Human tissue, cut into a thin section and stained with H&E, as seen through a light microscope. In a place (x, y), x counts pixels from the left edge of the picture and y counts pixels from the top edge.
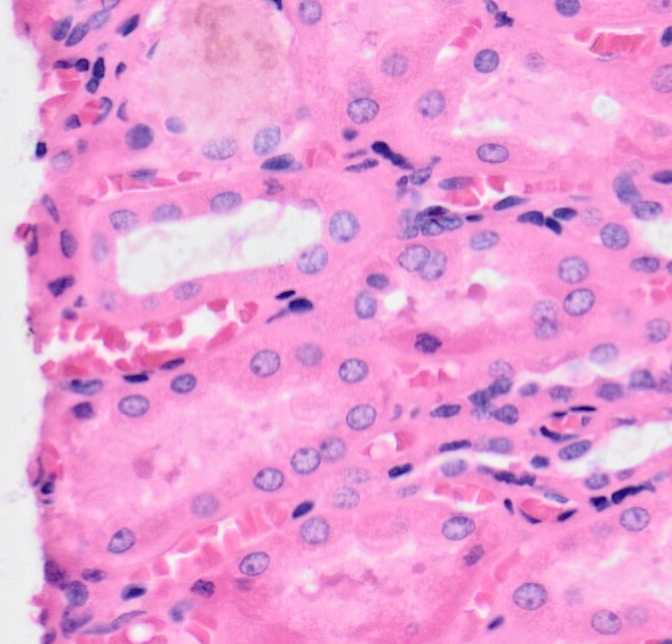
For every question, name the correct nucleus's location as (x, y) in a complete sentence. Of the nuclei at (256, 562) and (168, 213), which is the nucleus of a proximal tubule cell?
The nucleus at (256, 562) is the one of the two that belongs to a proximal tubule cell.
